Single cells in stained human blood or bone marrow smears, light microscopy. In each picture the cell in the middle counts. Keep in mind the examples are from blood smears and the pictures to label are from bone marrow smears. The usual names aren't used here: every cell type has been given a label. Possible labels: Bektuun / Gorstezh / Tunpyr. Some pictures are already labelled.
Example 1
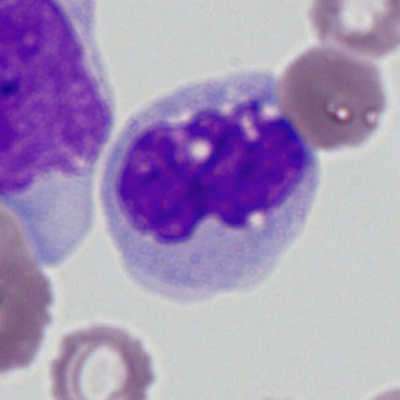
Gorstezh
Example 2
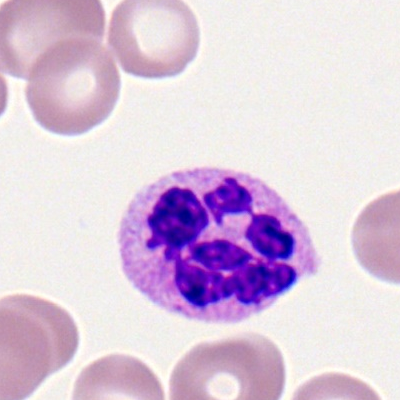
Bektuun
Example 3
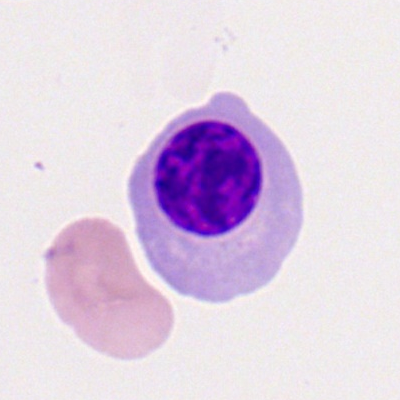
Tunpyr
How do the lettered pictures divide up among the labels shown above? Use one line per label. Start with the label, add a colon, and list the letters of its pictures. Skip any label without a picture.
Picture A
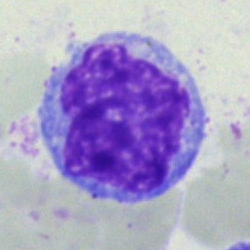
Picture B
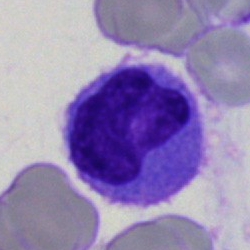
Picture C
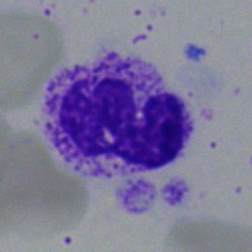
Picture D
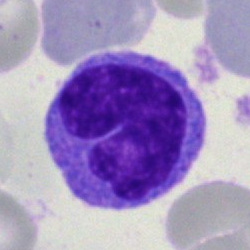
Bektuun: C
Gorstezh: A, B, D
